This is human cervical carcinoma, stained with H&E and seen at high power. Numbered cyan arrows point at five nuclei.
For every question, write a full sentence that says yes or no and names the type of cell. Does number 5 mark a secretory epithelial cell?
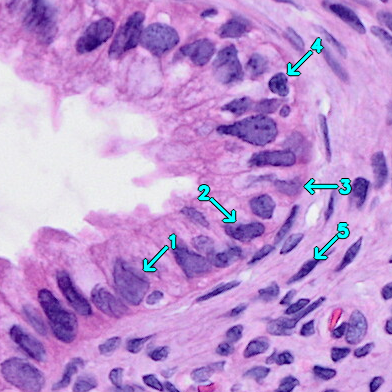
No, cell 5 is not a secretory epithelial cell; a fibroblast is correct.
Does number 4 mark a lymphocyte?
Yes, that is so; number 4 marks a lymphocyte.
